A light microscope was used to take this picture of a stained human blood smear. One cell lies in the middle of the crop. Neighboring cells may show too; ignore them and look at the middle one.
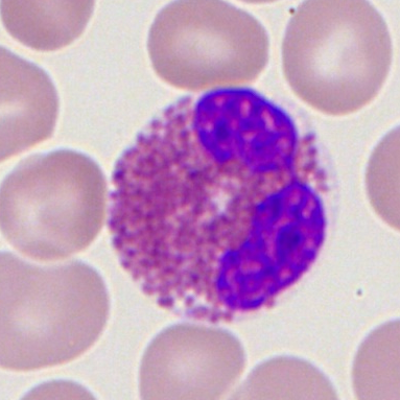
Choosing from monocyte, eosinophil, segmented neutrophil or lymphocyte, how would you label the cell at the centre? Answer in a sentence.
As for the cell in the middle, it is an eosinophil.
